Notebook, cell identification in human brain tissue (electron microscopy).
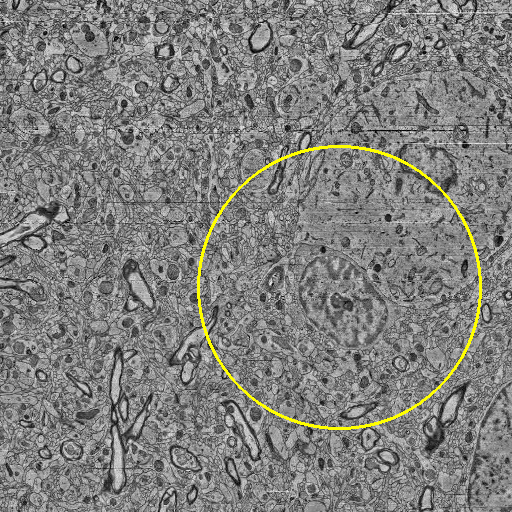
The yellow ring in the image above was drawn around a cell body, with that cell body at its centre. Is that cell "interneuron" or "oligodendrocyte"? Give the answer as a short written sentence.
The cell in the ring is an oligodendrocyte.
